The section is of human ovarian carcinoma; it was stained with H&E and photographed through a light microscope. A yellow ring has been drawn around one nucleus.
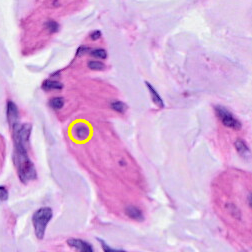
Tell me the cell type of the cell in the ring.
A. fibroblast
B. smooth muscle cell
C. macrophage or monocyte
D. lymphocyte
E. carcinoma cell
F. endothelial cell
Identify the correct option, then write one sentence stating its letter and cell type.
Of all the options, B is right, since the cell in the ring is a smooth muscle cell.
